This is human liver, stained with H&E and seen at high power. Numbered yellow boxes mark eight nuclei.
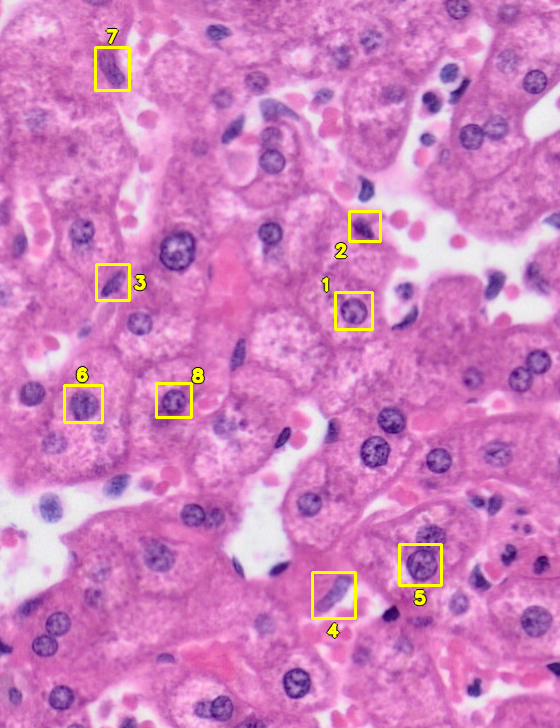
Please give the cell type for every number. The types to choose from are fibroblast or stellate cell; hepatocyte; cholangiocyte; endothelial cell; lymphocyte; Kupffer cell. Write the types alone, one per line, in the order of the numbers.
hepatocyte
fibroblast or stellate cell
fibroblast or stellate cell
Kupffer cell
hepatocyte
hepatocyte
Kupffer cell
hepatocyte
